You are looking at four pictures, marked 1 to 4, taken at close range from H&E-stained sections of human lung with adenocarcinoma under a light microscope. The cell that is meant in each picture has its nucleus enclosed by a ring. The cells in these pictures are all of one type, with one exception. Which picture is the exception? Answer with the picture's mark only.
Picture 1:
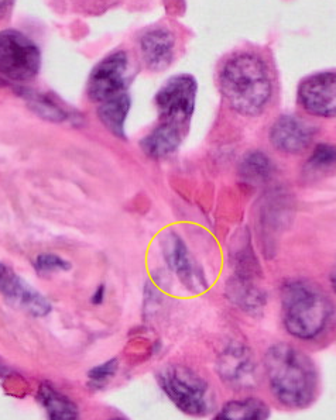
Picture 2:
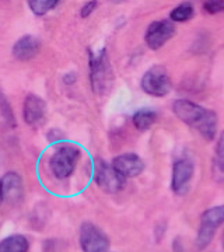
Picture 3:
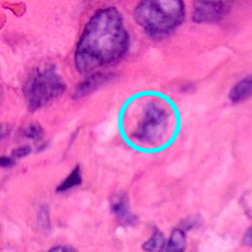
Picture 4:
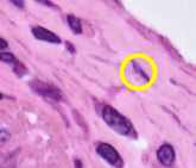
2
